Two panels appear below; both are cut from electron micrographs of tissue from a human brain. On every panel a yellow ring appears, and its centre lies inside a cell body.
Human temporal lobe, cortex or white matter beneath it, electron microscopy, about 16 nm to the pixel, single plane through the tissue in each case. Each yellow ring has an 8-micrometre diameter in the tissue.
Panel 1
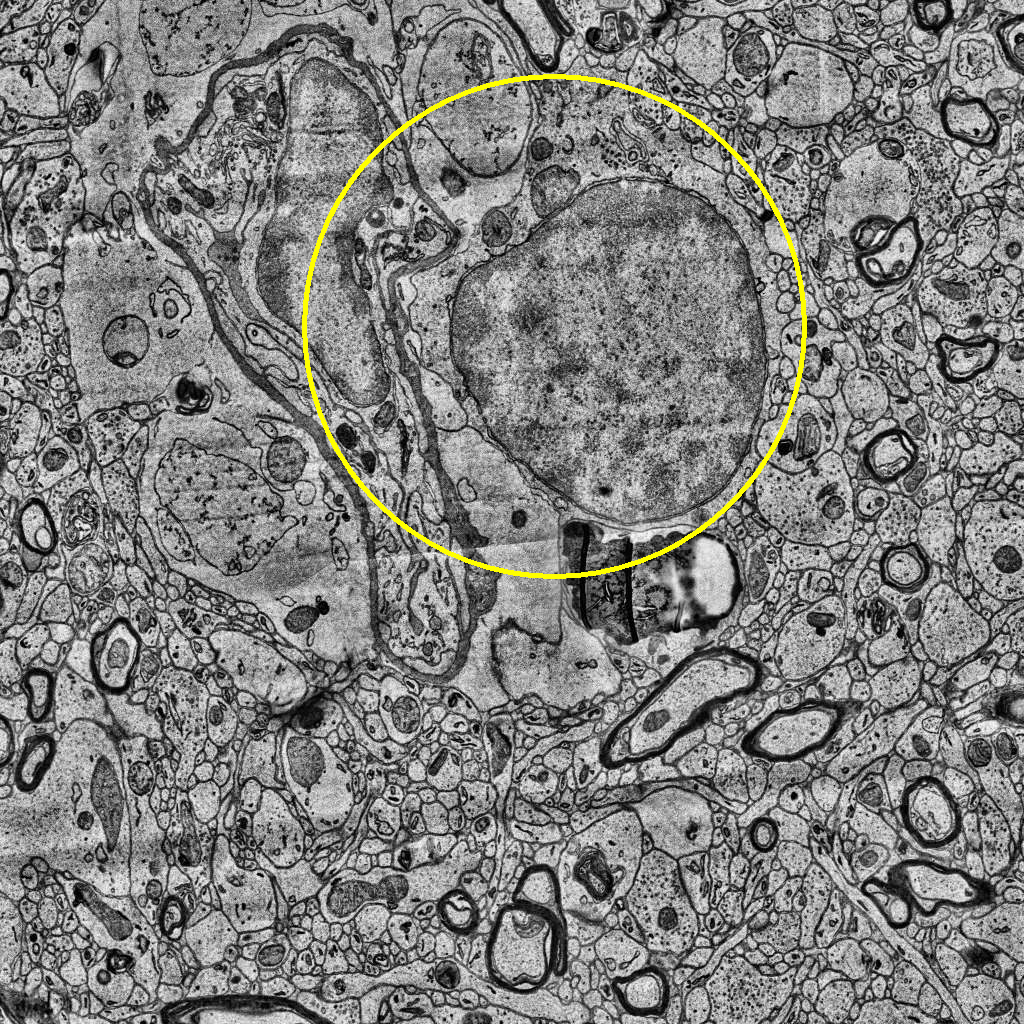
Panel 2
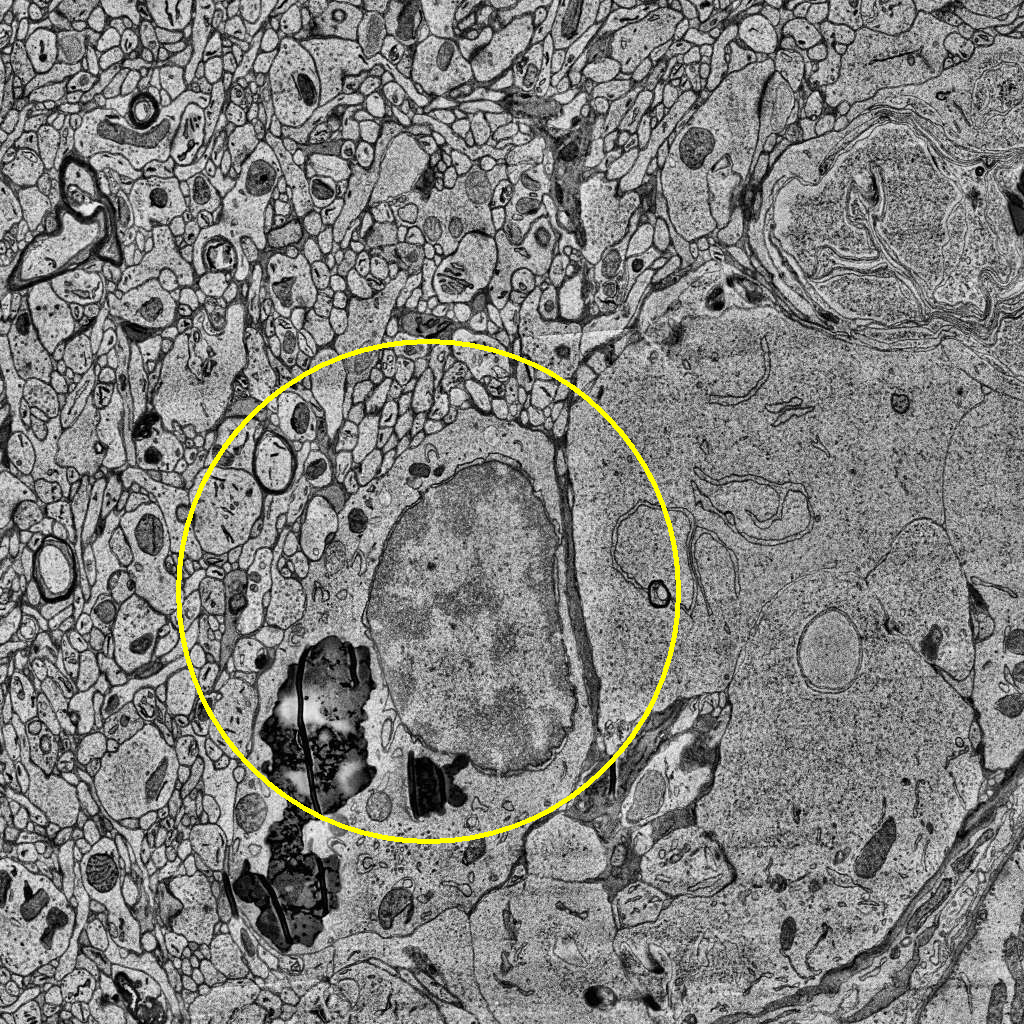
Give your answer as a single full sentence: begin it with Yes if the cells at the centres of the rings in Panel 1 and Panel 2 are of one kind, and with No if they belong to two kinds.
Yes, the cells at the middle of the rings in Panels 1 and 2 are of one kind.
